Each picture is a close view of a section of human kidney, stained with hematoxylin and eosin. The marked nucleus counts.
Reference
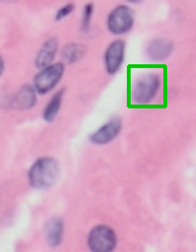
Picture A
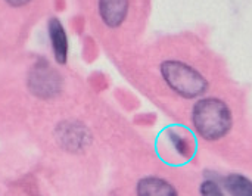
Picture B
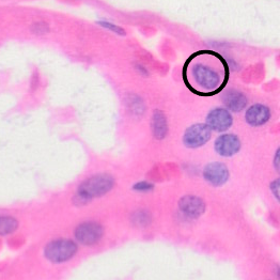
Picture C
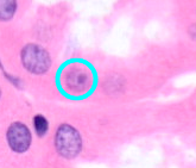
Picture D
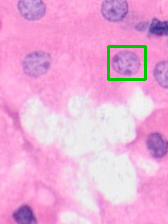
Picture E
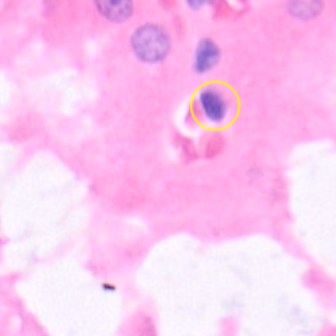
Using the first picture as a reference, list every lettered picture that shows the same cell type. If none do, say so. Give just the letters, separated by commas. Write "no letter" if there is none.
B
